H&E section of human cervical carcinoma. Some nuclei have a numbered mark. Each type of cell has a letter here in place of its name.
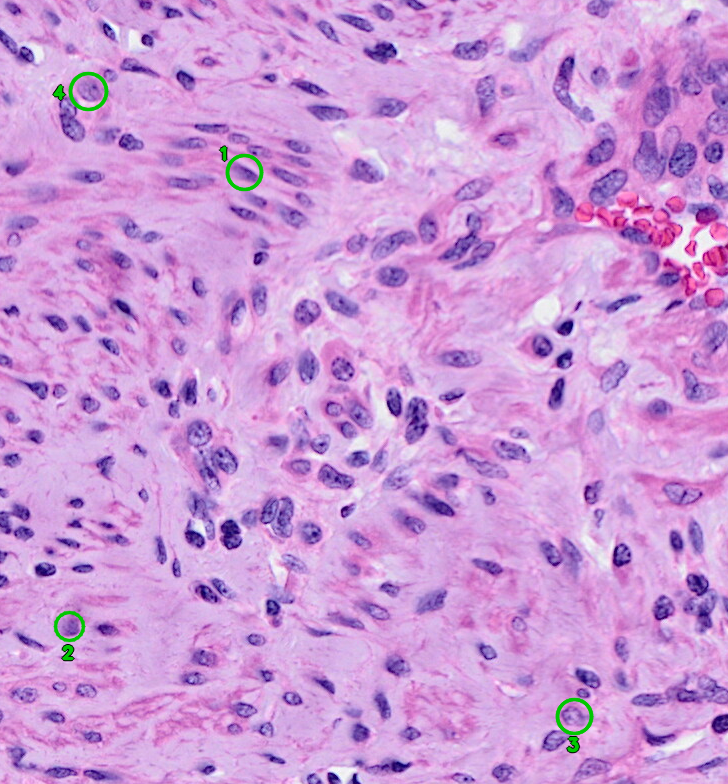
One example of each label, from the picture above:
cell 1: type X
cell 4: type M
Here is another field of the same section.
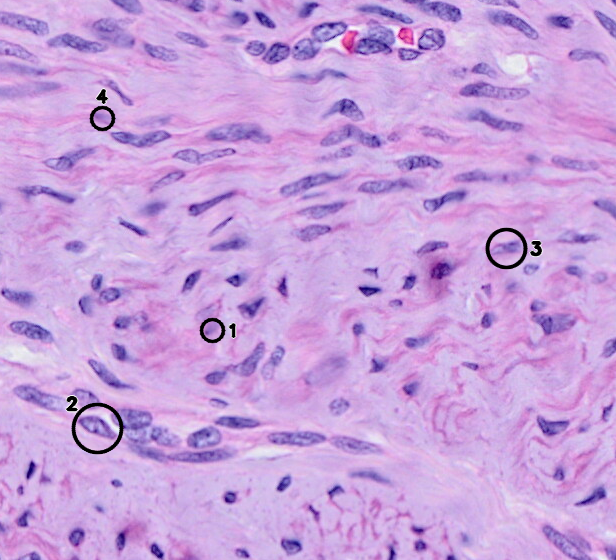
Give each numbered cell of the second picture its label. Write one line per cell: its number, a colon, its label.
1: type X
2: type M
3: type X
4: type X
